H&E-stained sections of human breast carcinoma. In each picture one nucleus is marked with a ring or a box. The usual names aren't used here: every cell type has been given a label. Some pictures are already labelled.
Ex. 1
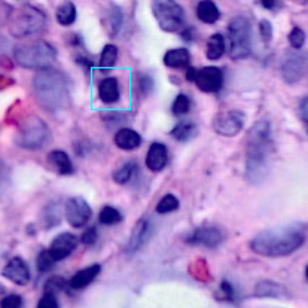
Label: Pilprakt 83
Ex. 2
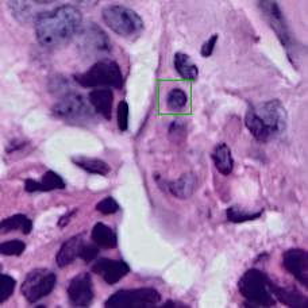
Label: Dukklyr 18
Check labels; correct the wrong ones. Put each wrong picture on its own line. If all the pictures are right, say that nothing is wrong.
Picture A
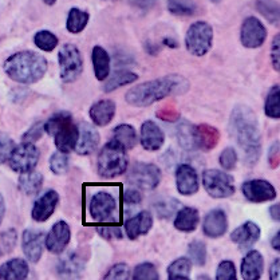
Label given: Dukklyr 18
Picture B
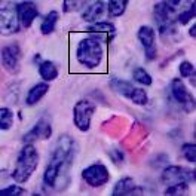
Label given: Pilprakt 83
A: Pilprakt 83, not Dukklyr 18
